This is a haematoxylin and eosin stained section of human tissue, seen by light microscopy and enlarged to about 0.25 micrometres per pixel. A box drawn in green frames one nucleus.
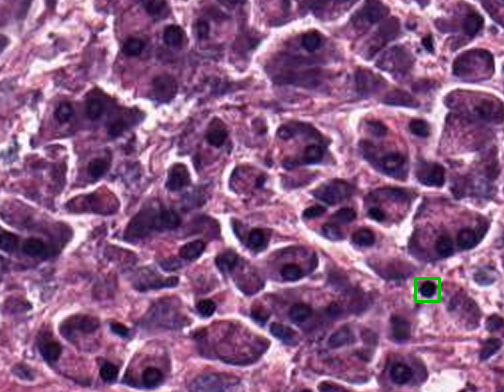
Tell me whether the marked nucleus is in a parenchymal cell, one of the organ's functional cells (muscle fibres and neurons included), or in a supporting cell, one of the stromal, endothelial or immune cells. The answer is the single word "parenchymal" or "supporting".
supporting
